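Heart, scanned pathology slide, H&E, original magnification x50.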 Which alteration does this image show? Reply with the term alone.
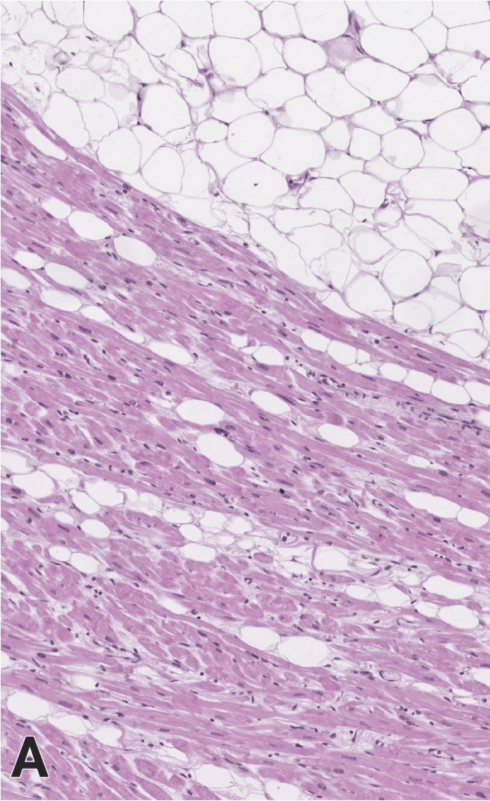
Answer: Subepicardial lipomatosis.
